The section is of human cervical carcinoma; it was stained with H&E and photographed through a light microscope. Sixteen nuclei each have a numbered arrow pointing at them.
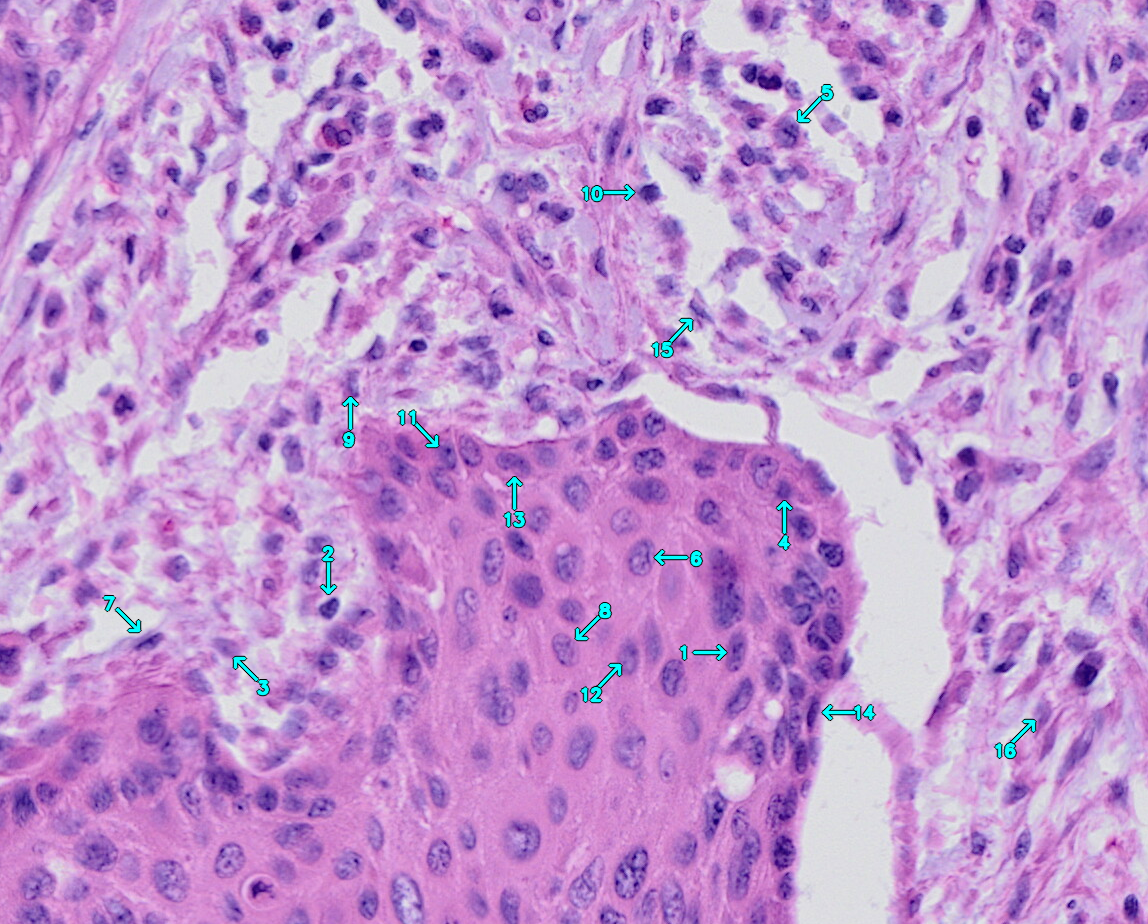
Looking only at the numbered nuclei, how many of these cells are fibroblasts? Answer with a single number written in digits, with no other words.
5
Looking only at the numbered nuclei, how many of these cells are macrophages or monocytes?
1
